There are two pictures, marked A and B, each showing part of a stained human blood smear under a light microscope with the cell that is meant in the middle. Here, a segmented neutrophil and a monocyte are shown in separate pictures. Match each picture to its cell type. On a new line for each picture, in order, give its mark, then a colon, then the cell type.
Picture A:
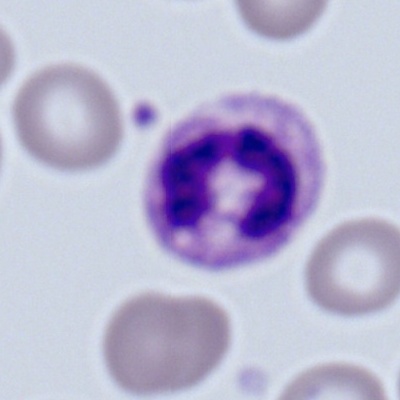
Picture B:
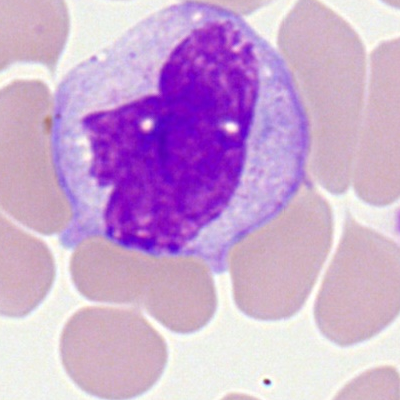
A: segmented neutrophil
B: monocyte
